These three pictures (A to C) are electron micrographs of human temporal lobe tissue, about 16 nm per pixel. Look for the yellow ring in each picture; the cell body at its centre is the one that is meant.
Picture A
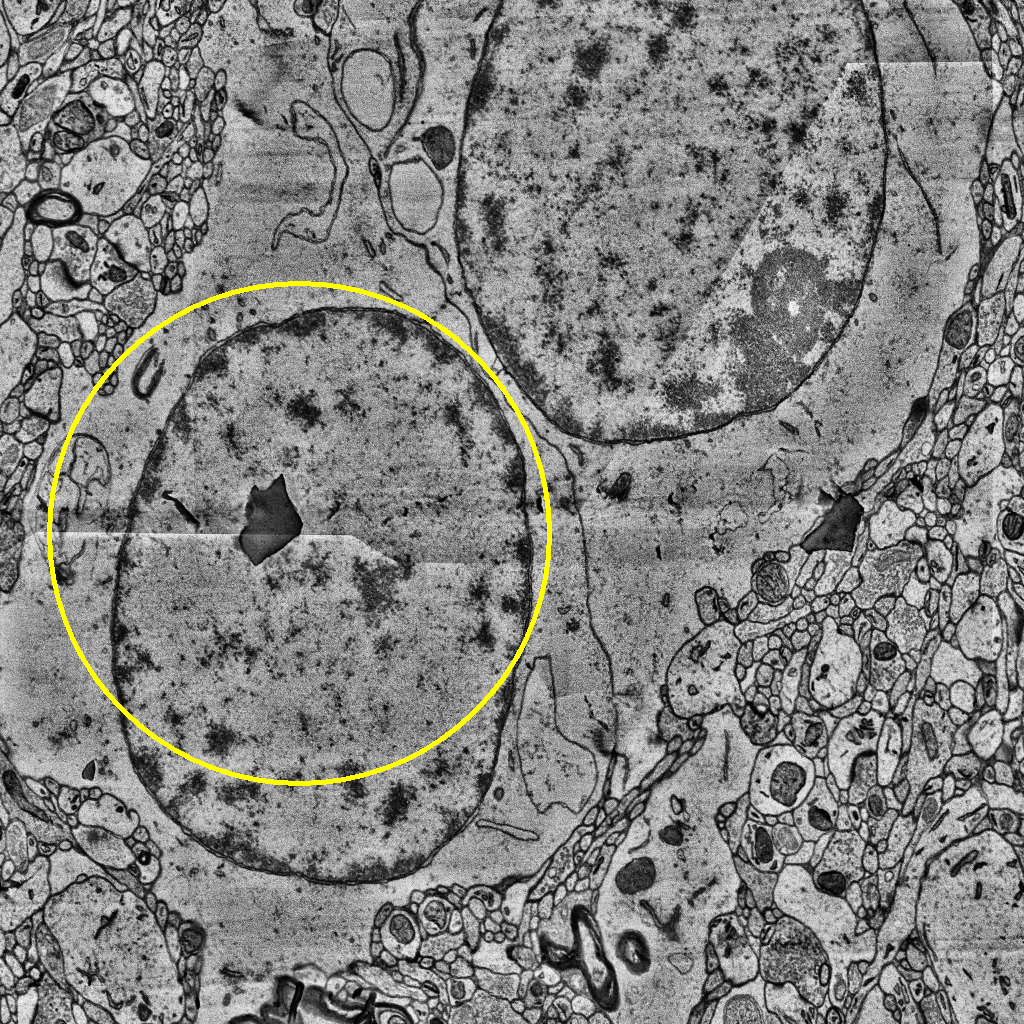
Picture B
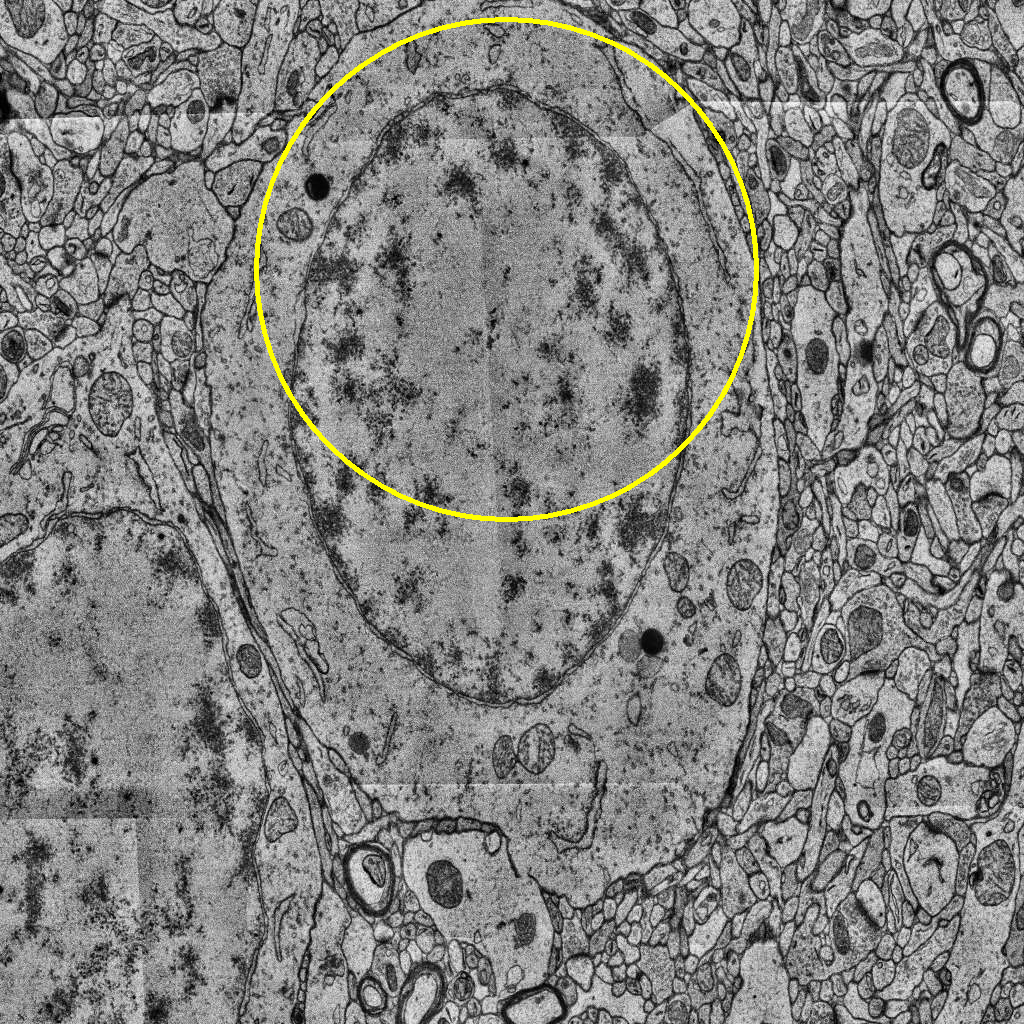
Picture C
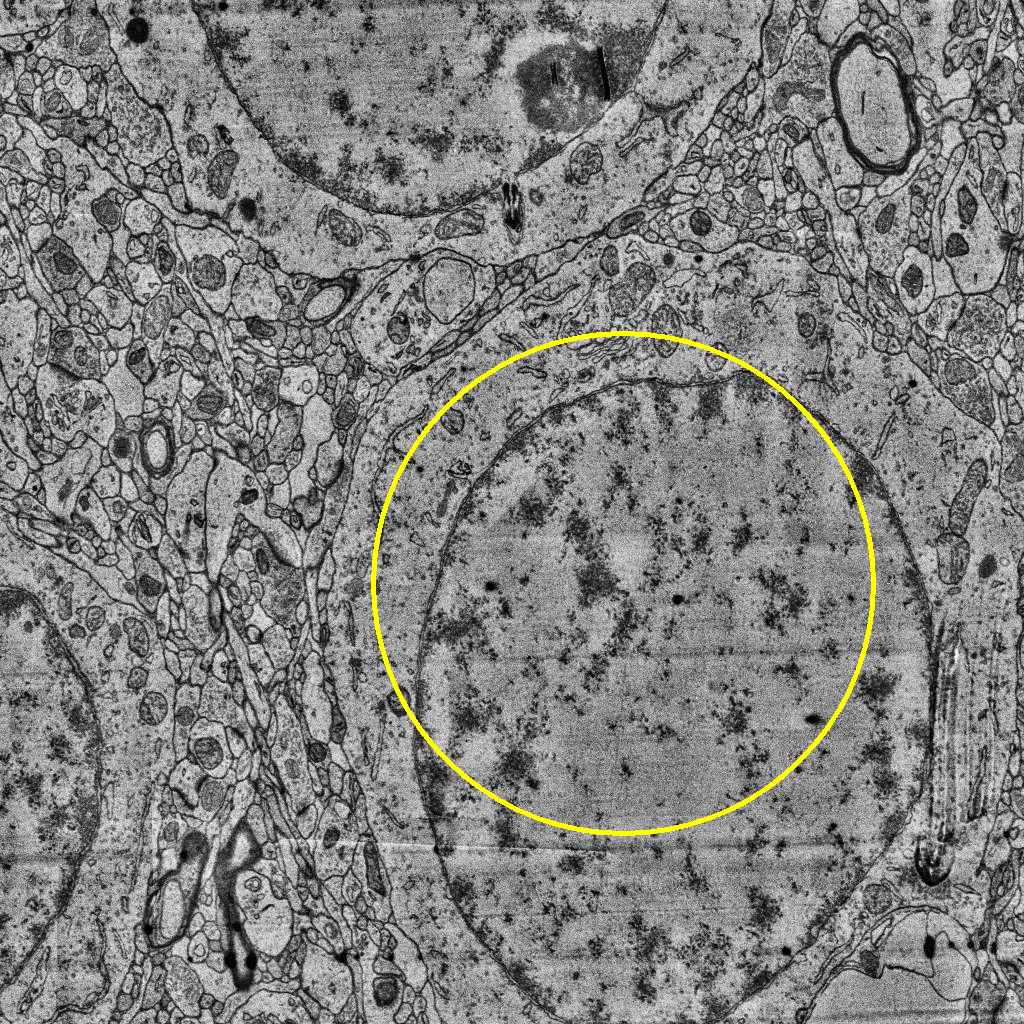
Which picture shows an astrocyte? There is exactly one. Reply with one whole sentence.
The picture with the astrocyte is A.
